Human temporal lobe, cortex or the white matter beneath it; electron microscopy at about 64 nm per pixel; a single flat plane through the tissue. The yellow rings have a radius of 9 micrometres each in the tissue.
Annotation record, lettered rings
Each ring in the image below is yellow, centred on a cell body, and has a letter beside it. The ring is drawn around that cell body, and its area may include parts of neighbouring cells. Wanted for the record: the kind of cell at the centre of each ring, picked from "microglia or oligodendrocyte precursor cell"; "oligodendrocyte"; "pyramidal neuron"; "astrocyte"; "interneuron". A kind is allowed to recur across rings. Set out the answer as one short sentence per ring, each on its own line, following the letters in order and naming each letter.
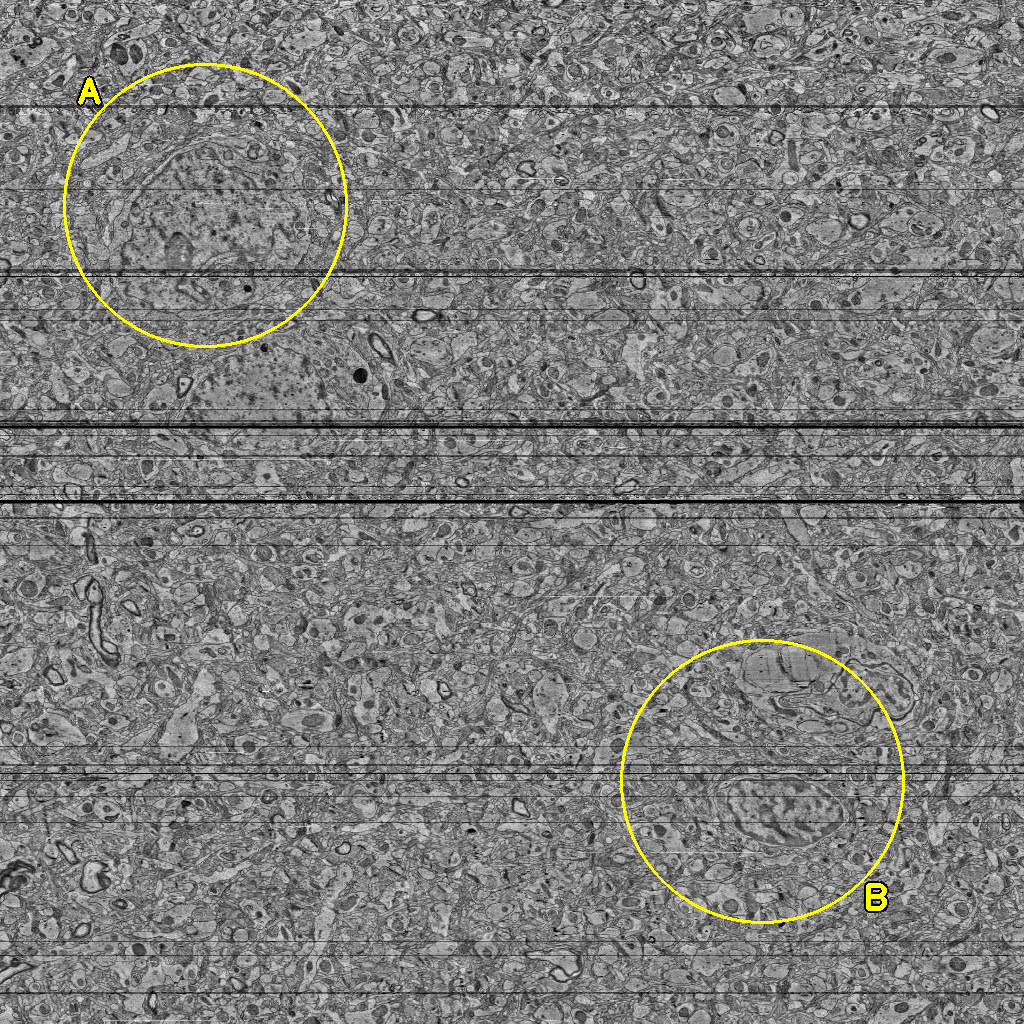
Ring A was drawn on an interneuron.
Ring B was drawn on a microglial cell or oligodendrocyte precursor cell.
